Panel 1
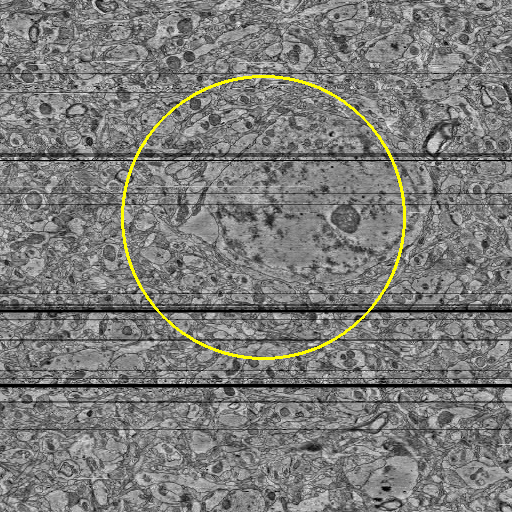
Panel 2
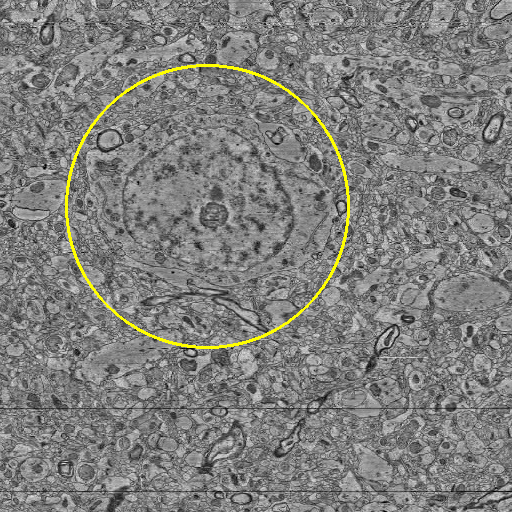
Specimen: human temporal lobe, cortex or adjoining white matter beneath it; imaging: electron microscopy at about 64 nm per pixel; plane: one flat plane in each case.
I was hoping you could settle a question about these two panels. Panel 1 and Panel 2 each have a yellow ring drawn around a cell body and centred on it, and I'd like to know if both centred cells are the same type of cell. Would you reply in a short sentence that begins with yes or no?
Yes, both are the same type of cell.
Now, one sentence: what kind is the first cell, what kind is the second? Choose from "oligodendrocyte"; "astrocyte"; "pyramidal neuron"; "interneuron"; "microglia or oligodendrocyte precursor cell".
The ring centre holds an interneuron in each of the two pictures.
